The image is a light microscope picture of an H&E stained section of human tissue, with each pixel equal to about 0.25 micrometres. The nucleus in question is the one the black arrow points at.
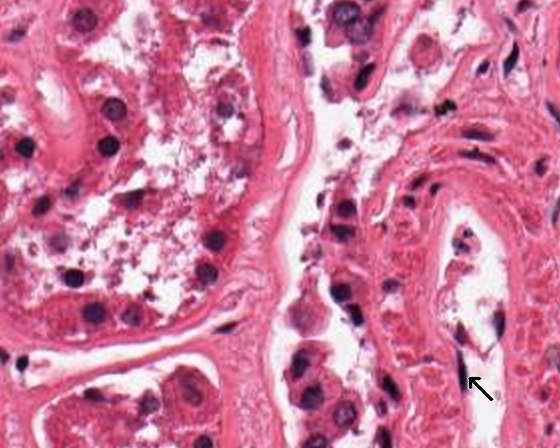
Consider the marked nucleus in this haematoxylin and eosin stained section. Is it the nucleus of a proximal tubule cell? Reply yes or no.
no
